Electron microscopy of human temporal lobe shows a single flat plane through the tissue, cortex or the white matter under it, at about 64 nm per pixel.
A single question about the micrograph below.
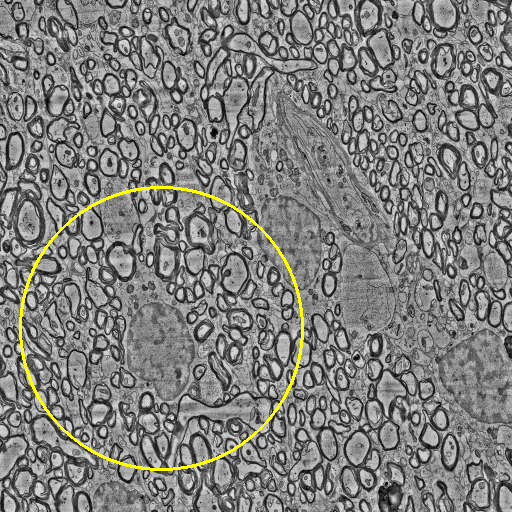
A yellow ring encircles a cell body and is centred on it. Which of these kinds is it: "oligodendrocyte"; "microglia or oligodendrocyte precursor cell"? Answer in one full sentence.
The cell body at the centre of the yellow ring belongs to an oligodendrocyte.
